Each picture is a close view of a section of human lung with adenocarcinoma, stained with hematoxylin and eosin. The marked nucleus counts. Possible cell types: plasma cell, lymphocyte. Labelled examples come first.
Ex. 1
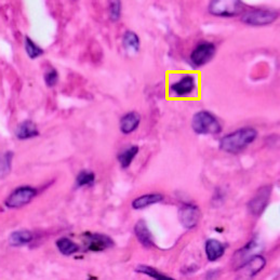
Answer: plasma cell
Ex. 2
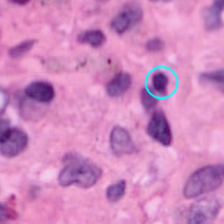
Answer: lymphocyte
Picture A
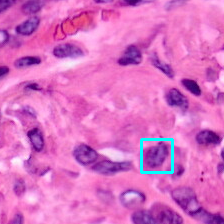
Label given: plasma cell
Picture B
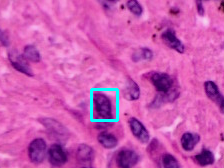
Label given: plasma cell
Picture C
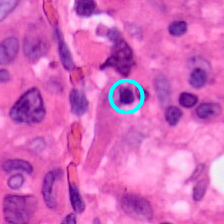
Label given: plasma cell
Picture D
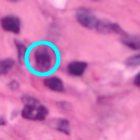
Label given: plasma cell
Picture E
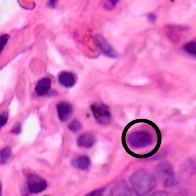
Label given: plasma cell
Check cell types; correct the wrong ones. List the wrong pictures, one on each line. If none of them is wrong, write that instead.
C: change plasma cell to lymphocyte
